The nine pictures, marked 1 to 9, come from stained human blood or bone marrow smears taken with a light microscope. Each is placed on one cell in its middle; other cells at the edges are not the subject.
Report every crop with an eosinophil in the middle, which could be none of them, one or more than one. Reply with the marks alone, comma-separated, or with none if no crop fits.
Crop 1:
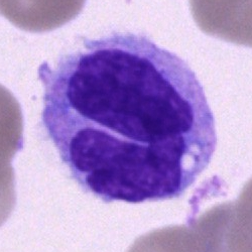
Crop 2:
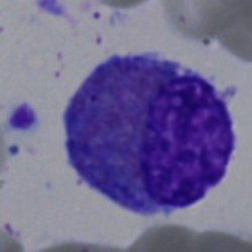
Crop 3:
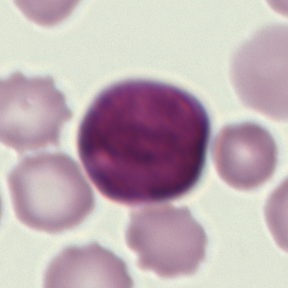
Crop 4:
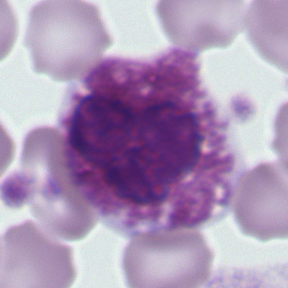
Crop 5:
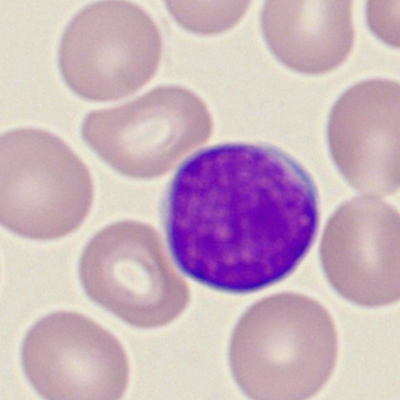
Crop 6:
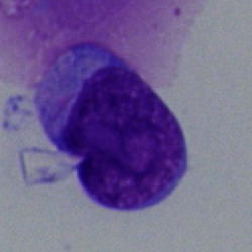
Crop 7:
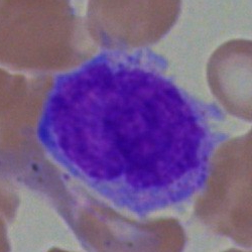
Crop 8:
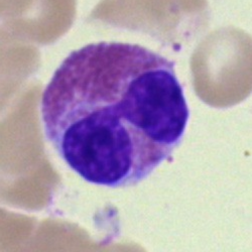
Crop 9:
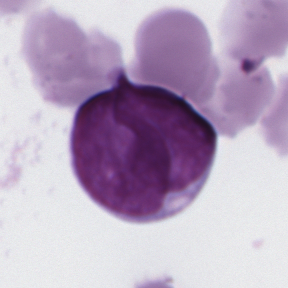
2, 4, 8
